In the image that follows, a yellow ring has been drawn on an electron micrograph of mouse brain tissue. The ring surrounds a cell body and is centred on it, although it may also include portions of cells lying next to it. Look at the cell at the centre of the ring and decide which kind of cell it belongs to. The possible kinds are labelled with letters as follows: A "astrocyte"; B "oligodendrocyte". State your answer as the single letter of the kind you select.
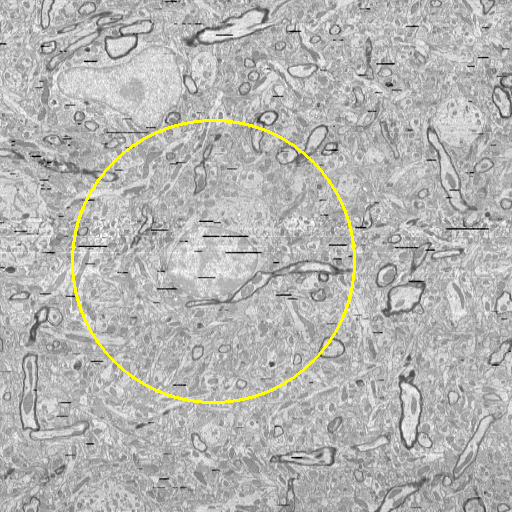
B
